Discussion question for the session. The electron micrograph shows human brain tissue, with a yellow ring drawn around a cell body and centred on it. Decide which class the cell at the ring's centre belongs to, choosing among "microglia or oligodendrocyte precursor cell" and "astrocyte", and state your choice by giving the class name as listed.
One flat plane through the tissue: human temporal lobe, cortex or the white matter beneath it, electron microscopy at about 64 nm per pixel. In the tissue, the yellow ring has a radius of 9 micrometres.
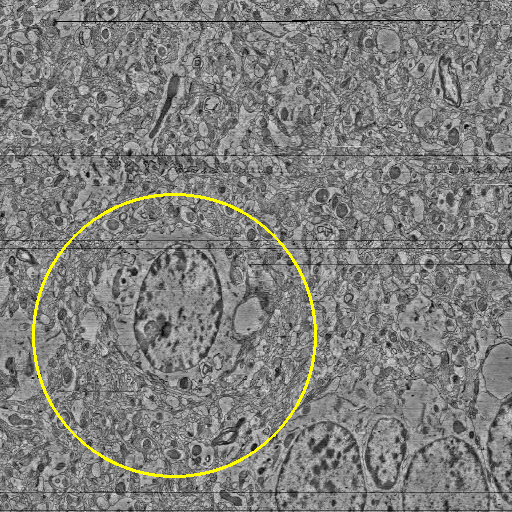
astrocyte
